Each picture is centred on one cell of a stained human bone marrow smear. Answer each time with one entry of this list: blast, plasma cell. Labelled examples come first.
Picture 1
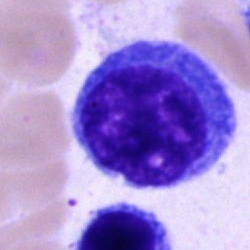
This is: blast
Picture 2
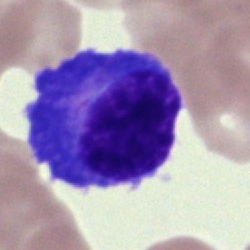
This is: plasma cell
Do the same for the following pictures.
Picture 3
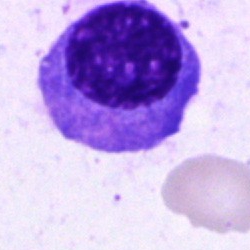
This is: plasma cell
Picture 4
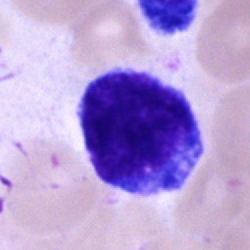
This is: blast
